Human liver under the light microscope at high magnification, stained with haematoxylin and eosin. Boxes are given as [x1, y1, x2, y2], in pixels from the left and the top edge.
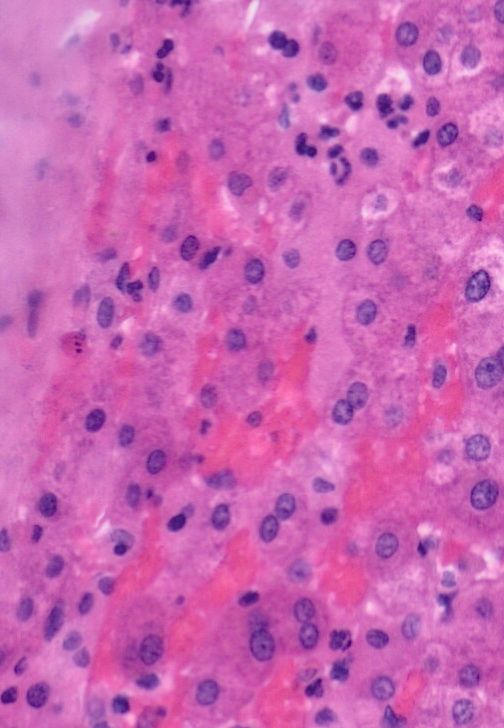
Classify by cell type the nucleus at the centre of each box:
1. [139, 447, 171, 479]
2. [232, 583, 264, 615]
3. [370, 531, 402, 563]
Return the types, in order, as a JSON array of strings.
["hepatocyte", "fibroblast or stellate cell", "hepatocyte"]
